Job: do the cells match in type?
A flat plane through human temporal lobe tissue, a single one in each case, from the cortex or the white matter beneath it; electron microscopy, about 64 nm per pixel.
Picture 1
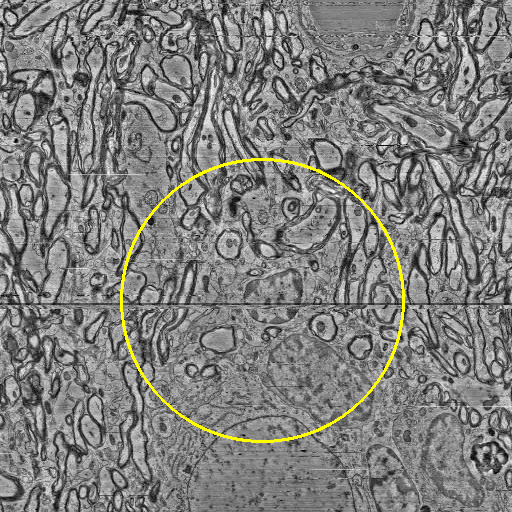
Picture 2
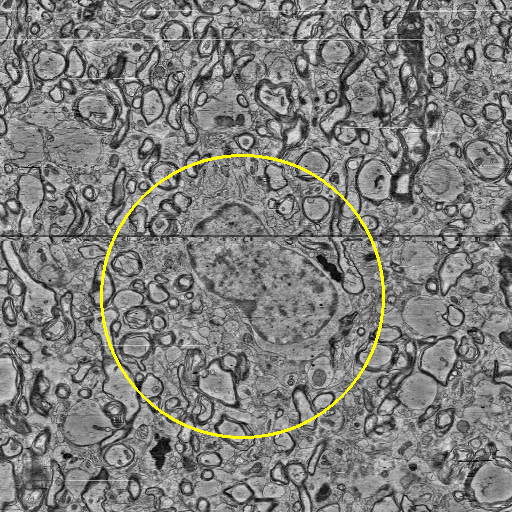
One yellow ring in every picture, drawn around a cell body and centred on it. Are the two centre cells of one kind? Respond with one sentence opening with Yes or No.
Yes, the ringed cells in the two pictures are of one and the same kind.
